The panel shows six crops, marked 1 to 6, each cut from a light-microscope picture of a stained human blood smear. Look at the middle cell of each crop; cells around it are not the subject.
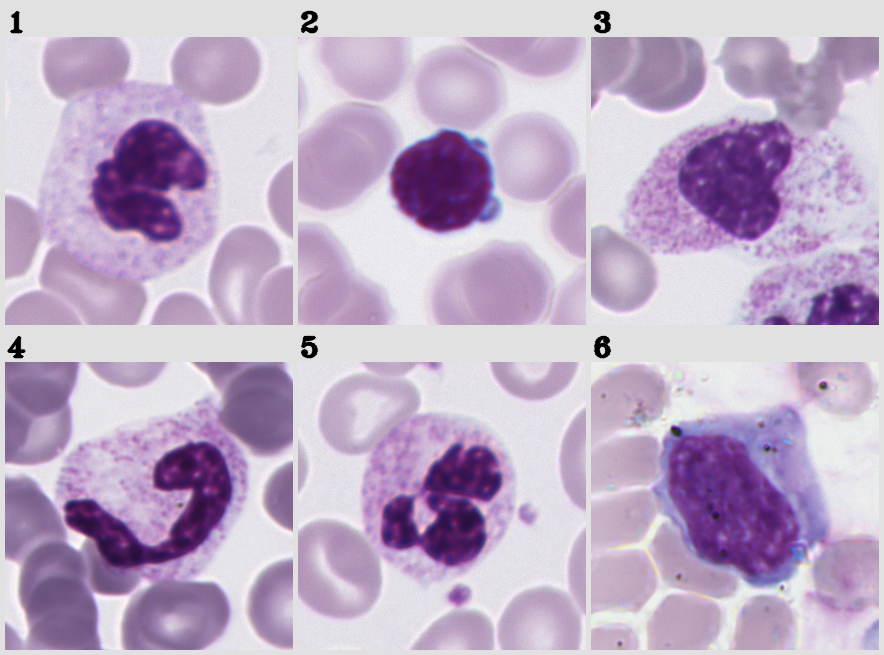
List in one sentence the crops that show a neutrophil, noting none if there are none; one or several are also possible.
Crops 1, 3, 4 and 5 depict neutrophils in the middle.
